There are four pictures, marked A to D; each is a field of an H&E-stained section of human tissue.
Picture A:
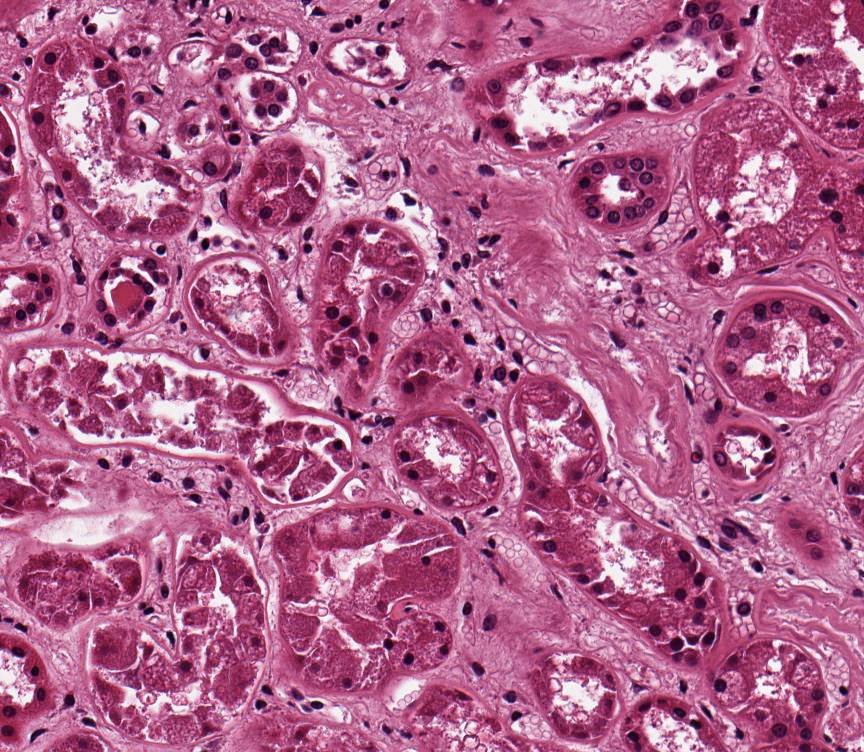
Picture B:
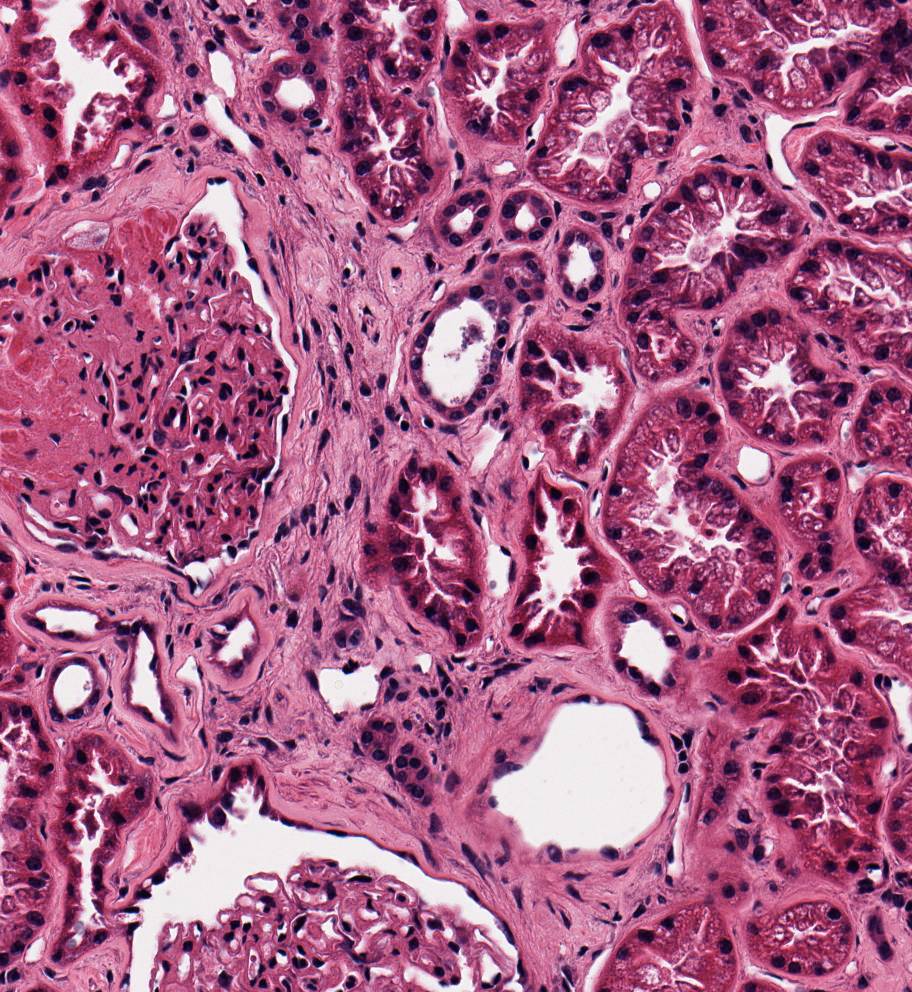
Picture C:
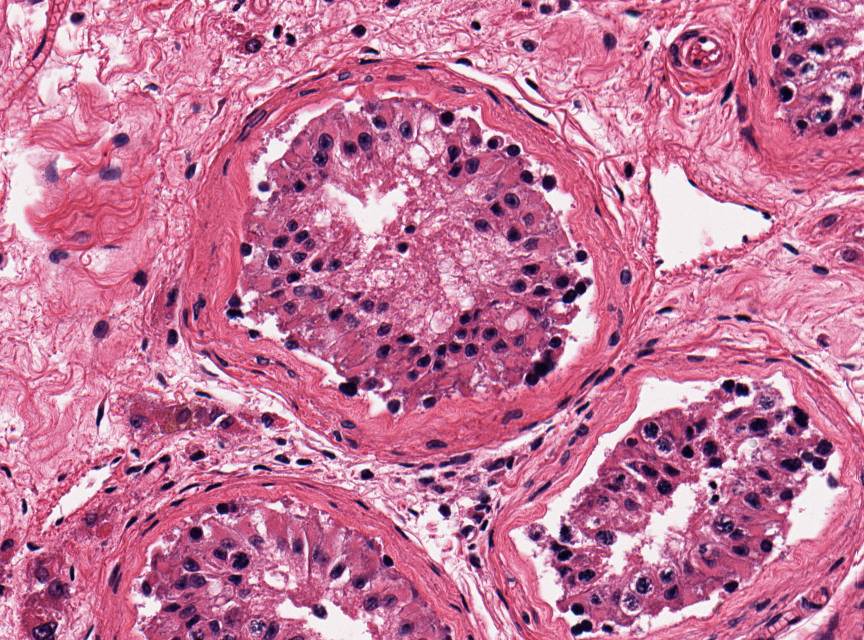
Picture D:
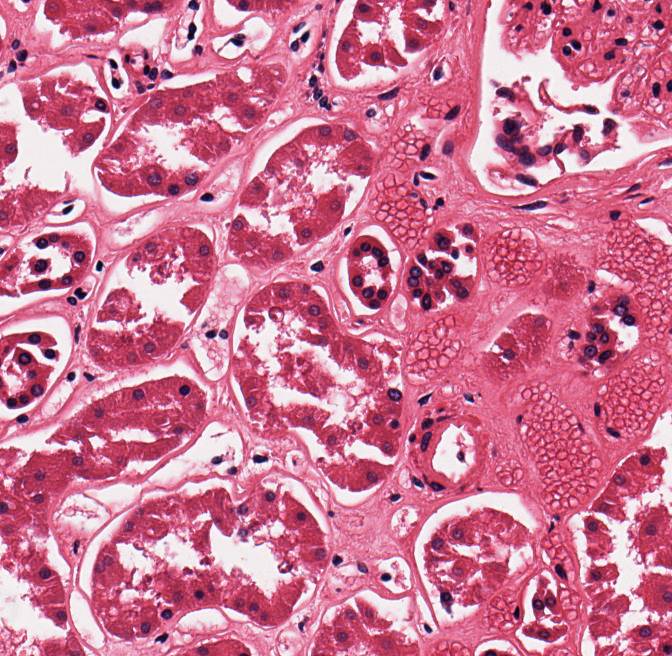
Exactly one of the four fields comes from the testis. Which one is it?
C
